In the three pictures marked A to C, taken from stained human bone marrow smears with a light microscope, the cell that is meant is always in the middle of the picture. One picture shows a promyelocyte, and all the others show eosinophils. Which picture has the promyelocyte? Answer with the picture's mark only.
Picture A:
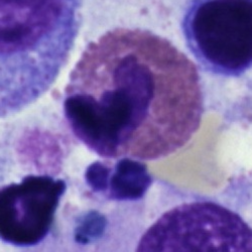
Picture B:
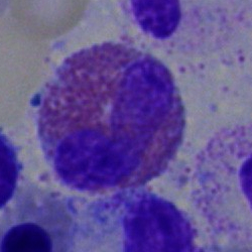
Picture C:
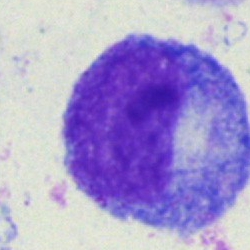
C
